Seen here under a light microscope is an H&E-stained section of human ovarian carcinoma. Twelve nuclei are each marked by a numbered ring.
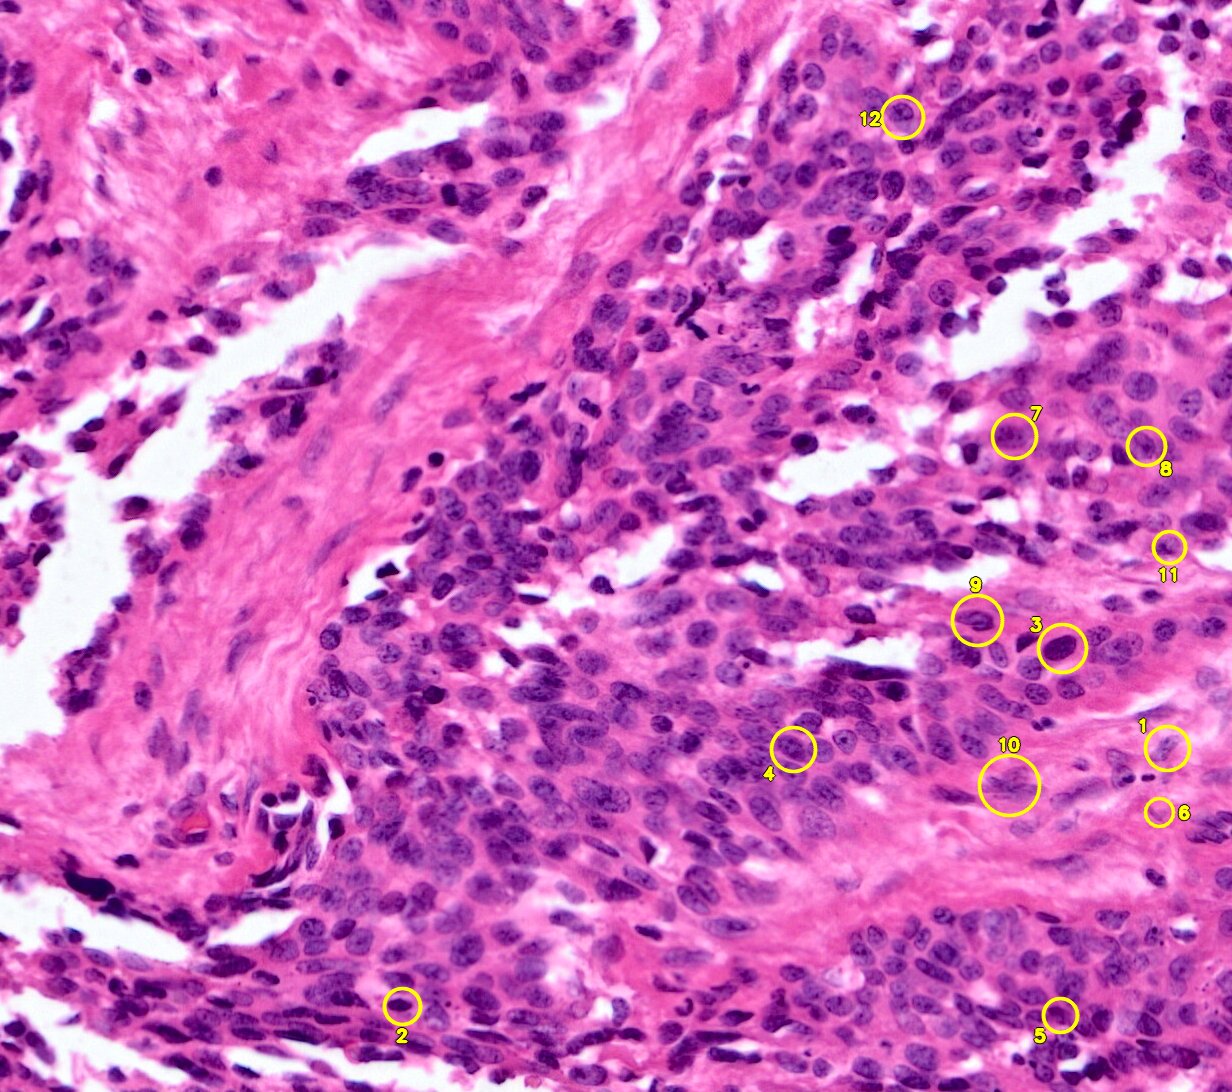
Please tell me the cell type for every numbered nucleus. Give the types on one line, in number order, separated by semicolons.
fibroblast; carcinoma cell; carcinoma cell; carcinoma cell; carcinoma cell; fibroblast; carcinoma cell; carcinoma cell; endothelial cell; fibroblast; macrophage or monocyte; carcinoma cell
